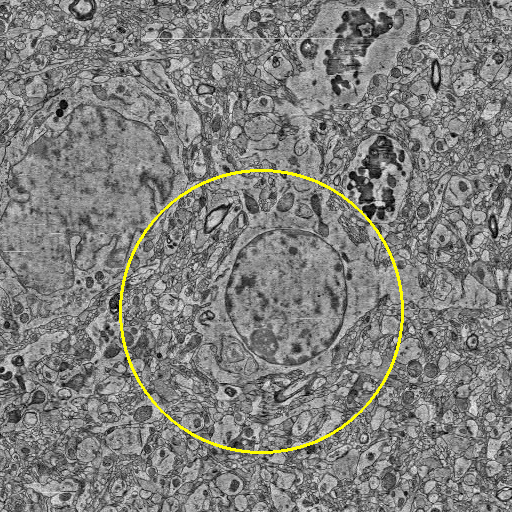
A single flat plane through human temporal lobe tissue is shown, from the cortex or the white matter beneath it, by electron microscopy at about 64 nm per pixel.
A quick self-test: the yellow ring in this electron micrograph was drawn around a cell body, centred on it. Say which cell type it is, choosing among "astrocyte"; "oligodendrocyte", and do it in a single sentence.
The yellow-ringed cell is an astrocyte.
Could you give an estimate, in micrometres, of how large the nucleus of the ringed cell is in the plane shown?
In this plane, roughly 9 micrometres across.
